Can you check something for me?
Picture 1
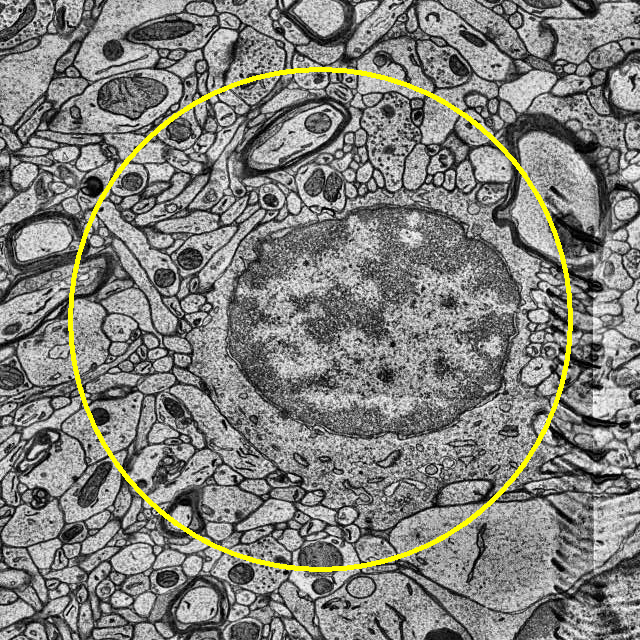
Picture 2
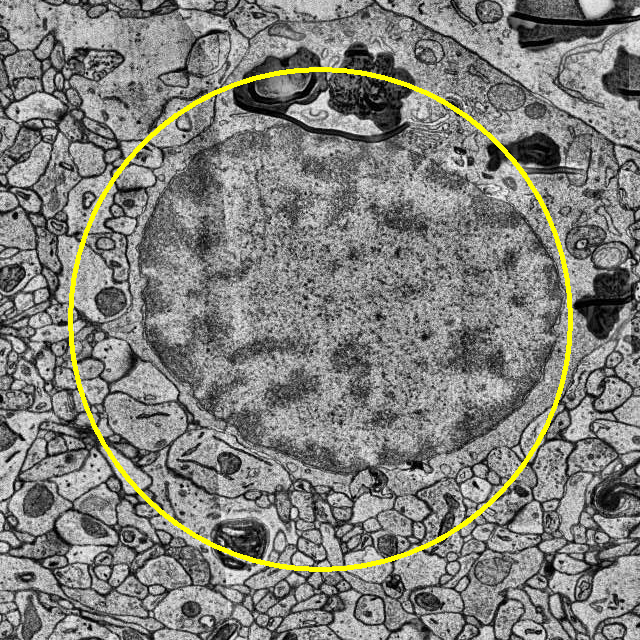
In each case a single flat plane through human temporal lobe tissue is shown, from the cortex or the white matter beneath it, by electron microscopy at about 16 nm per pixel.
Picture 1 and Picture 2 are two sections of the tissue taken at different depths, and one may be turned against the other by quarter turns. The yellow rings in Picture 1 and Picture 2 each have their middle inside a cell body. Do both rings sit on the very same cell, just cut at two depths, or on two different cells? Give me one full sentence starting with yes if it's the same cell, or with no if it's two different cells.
No, the two rings were placed on two different cells.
